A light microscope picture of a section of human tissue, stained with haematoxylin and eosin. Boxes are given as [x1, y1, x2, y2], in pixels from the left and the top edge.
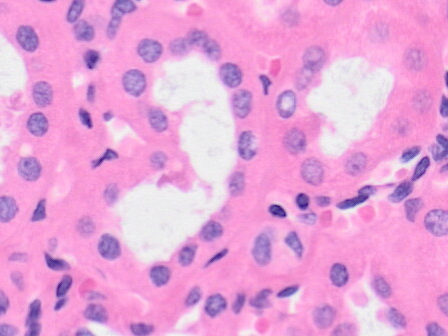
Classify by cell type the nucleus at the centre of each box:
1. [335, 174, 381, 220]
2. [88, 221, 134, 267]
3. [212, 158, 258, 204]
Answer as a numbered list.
1. endothelial cell
2. loop of Henle or distal tubule cell
3. loop of Henle or distal tubule cell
